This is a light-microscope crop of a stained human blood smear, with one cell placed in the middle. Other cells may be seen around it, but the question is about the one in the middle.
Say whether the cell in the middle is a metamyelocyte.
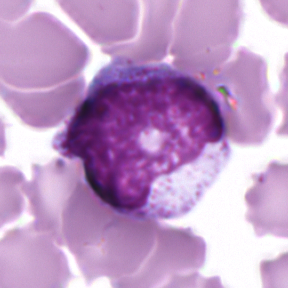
yes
